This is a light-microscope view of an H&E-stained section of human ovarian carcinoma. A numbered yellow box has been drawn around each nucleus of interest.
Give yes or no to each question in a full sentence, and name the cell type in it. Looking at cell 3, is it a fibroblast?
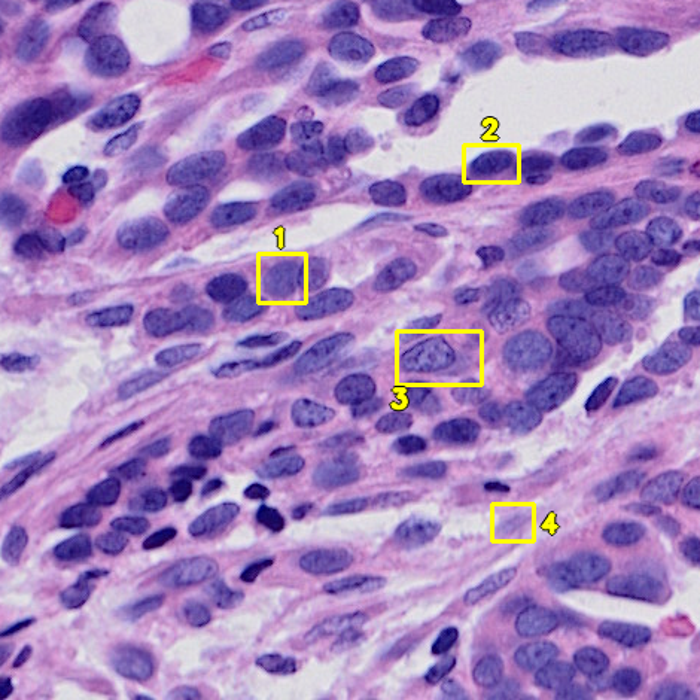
No, the cell tagged 3 is a carcinoma cell, and not a fibroblast.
